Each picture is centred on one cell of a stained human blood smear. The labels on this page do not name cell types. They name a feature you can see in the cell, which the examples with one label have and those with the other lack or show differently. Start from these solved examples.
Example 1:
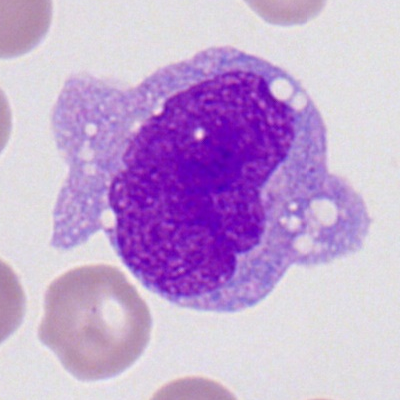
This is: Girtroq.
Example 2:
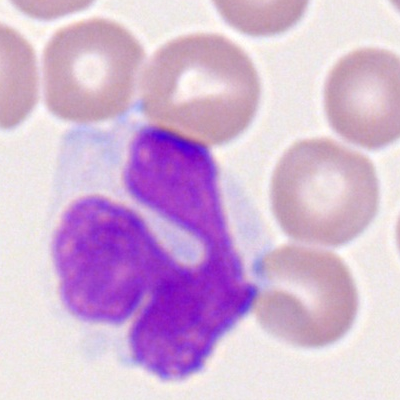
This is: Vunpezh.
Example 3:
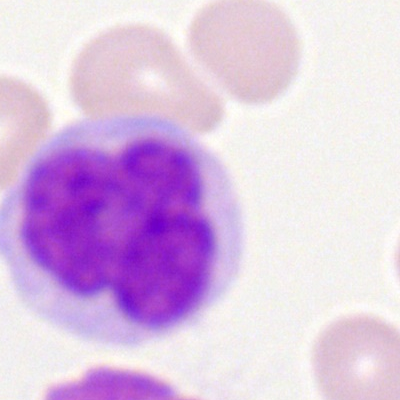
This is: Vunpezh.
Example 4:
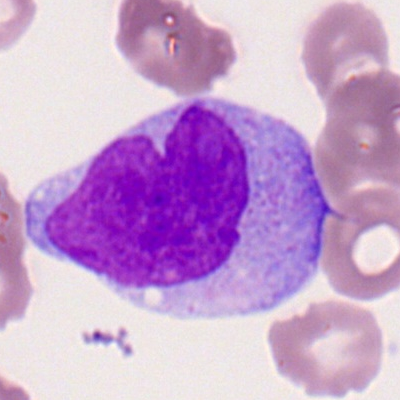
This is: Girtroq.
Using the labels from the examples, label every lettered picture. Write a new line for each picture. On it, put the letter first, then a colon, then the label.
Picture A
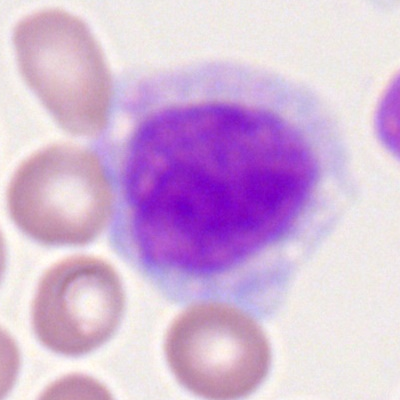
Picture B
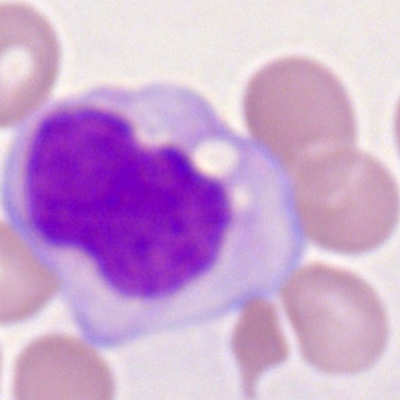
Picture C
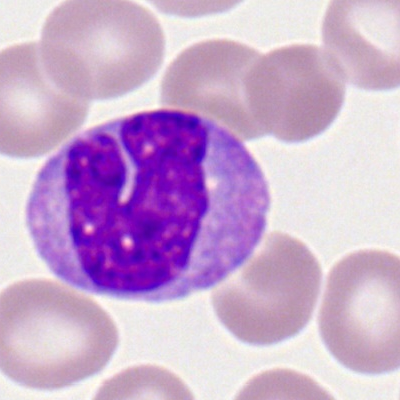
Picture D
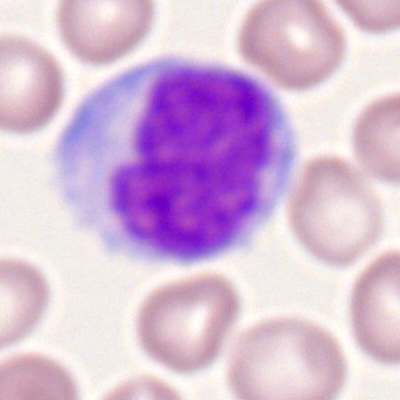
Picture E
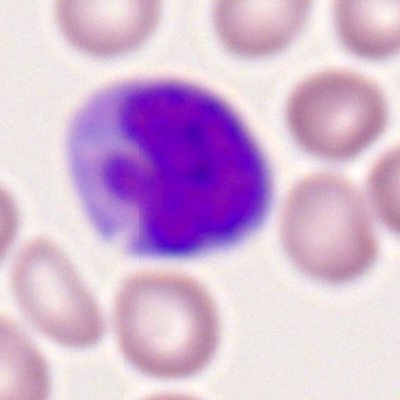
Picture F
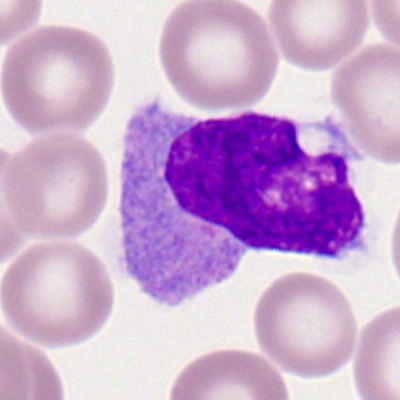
A: Vunpezh.
B: Vunpezh.
C: Girtroq.
D: Vunpezh.
E: Vunpezh.
F: Girtroq.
